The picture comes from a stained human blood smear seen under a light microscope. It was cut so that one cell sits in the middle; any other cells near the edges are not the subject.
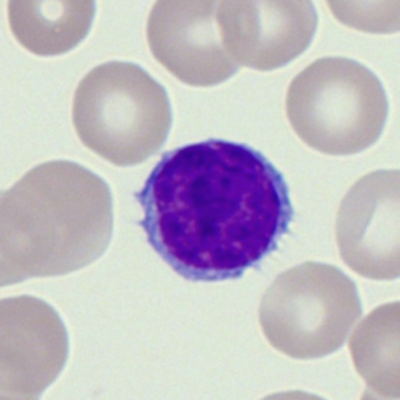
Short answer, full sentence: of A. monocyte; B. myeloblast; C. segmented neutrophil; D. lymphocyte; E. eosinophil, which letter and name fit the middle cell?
Option D is the correct one; it names the central cell as a lymphocyte.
